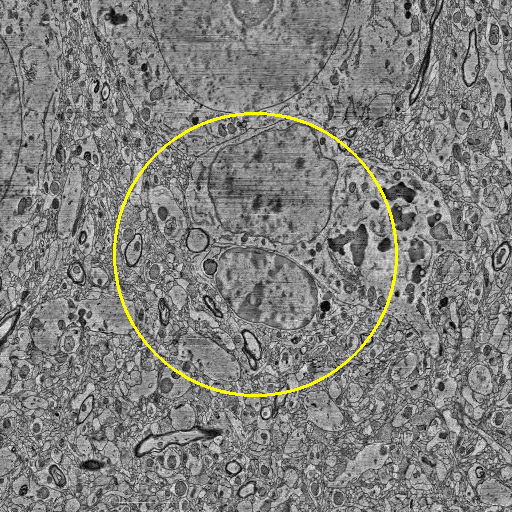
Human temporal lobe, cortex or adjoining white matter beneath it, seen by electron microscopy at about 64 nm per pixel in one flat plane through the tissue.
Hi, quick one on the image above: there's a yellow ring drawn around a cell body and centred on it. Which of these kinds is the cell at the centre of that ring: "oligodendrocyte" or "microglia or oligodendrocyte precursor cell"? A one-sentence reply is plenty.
The cell at the centre of the ring is a microglial cell or oligodendrocyte precursor cell.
